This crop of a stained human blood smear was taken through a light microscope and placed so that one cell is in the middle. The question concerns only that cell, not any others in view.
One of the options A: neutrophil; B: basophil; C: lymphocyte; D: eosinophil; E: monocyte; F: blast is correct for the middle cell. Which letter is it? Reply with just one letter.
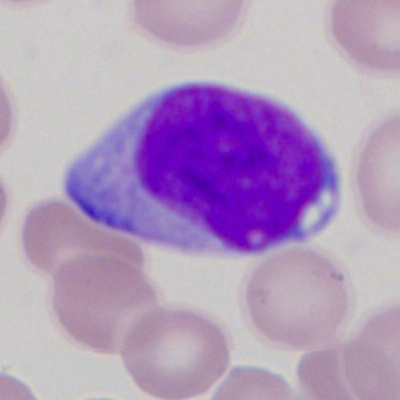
F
